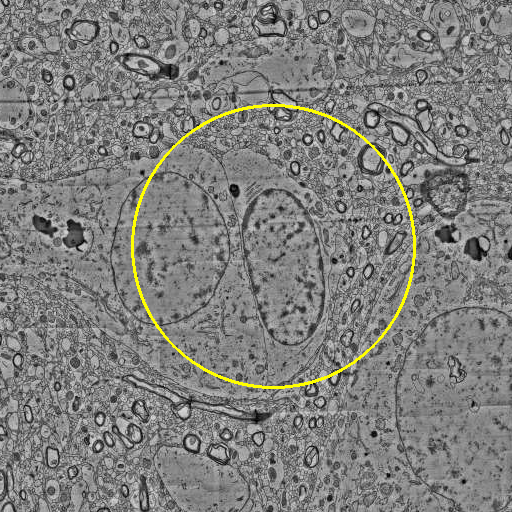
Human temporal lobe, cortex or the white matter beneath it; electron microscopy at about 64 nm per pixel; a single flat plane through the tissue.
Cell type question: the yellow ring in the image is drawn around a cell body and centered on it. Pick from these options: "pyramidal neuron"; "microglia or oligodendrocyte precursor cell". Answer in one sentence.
The ringed cell at the center is a microglial cell or oligodendrocyte precursor cell.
